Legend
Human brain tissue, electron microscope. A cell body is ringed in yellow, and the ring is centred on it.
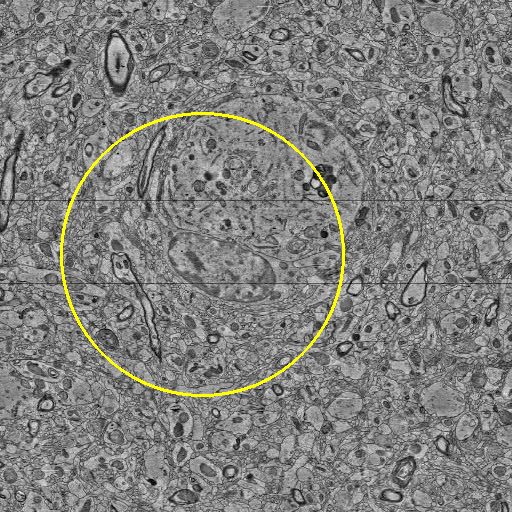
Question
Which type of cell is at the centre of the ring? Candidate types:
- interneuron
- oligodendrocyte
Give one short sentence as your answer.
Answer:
The yellow ring is centred here on an oligodendrocyte.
